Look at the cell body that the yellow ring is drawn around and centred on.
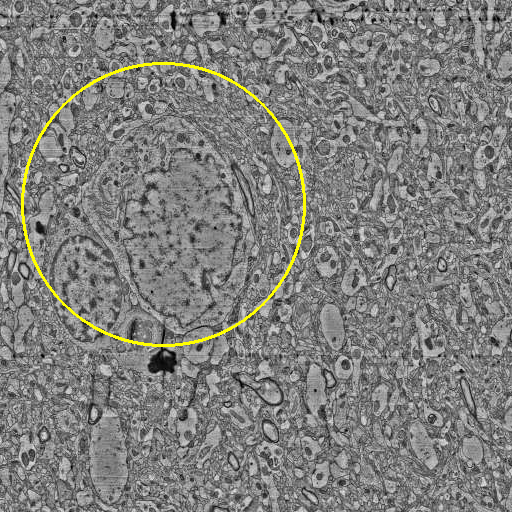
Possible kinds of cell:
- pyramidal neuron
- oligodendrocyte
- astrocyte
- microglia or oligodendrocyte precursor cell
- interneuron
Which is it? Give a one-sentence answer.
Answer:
The centred cell body is that of an interneuron.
